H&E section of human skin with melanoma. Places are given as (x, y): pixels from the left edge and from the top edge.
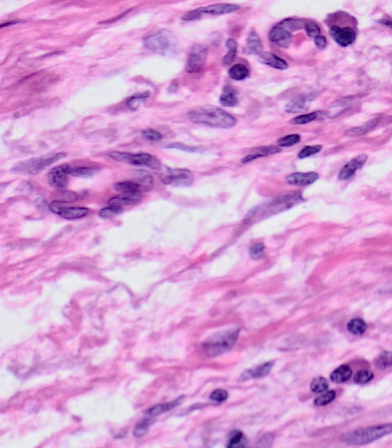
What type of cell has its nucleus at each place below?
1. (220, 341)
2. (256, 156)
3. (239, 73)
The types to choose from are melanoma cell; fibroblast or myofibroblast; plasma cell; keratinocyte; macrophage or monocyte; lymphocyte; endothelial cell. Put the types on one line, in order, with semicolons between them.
fibroblast or myofibroblast; macrophage or monocyte; plasma cell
